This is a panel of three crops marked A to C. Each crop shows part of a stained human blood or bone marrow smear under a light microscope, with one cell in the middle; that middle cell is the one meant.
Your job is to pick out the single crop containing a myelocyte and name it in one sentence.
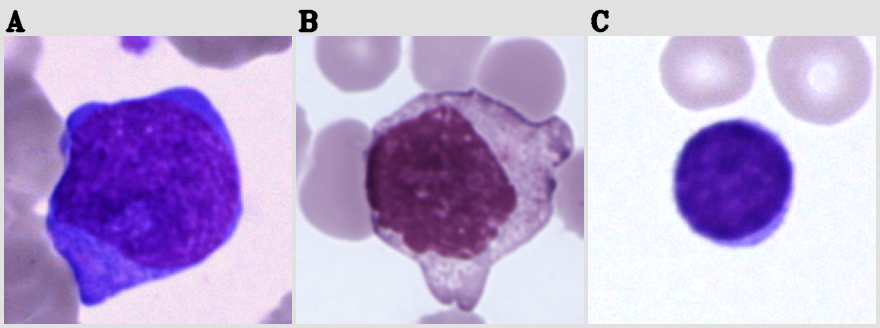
Crop B, of the crops presented, is the one showing a myelocyte.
